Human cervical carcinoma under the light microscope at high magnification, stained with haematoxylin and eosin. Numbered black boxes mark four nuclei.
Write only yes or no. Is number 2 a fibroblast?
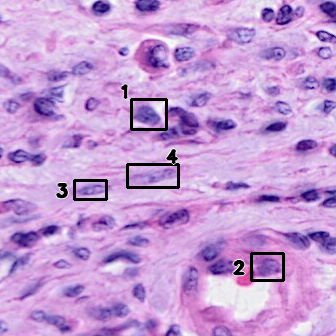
no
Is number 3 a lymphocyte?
no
